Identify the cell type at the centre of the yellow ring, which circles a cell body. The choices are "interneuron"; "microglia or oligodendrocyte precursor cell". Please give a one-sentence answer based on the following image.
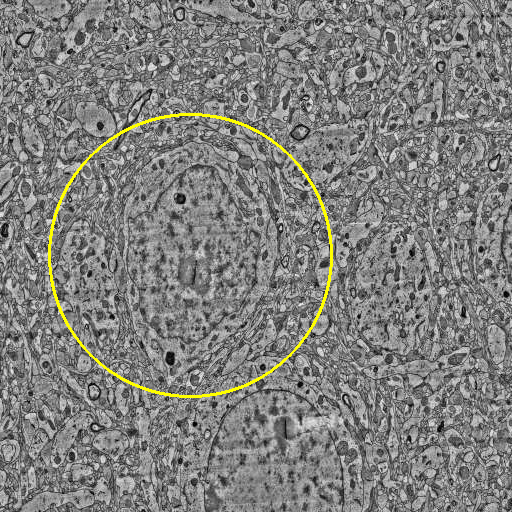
The cell marked by the ring is an interneuron.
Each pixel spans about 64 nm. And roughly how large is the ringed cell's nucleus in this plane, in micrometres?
The nucleus appears roughly 11 by 8 micrometres in this plane.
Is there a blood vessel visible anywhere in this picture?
No, none shows.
